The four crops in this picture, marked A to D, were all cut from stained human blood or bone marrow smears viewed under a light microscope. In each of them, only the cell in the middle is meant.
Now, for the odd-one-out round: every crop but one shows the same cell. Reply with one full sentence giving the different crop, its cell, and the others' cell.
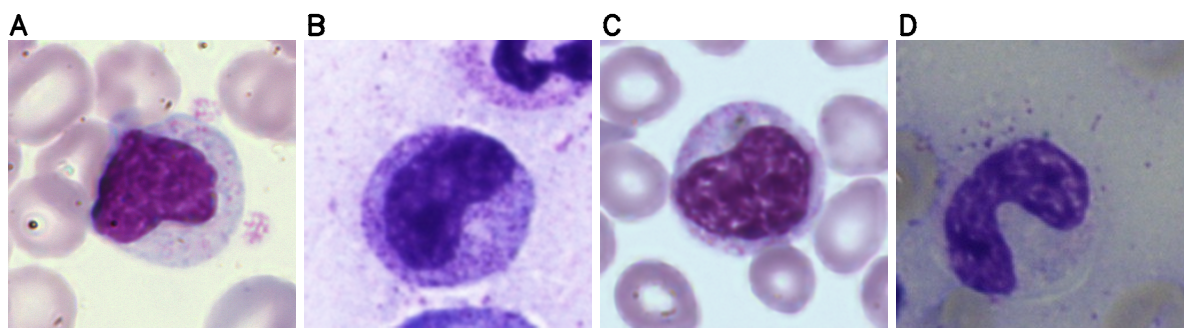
The exception in this group is crop D, a band neutrophil, and the others are all metamyelocytes.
